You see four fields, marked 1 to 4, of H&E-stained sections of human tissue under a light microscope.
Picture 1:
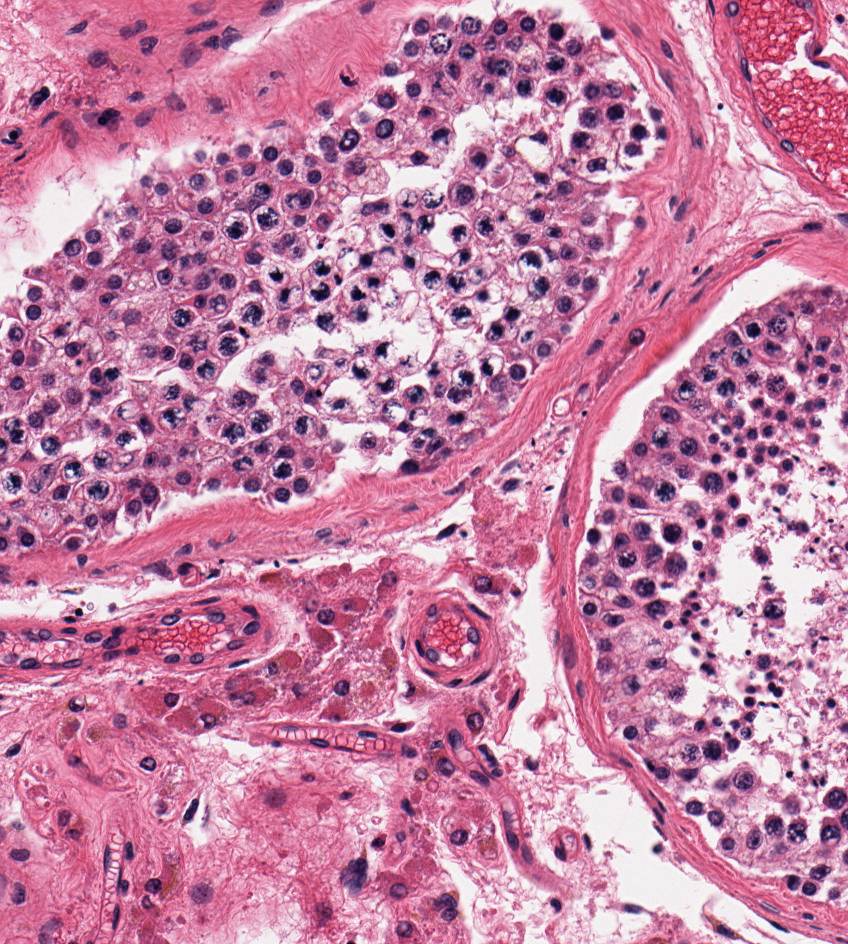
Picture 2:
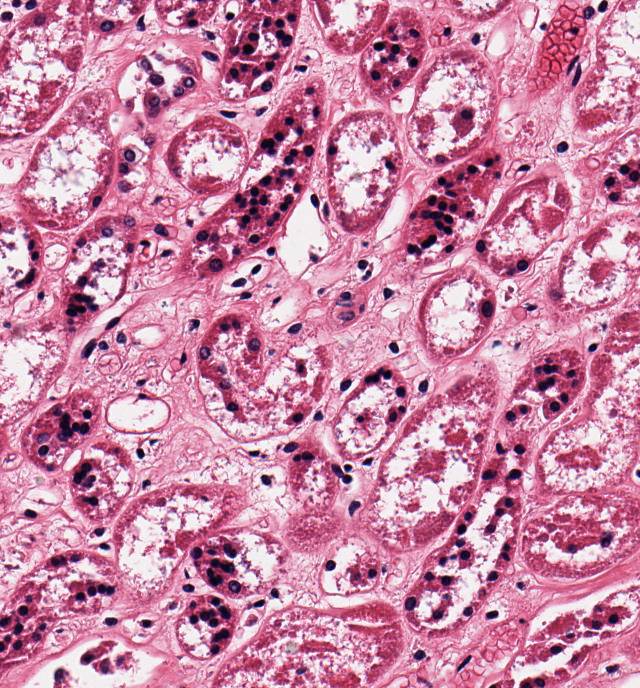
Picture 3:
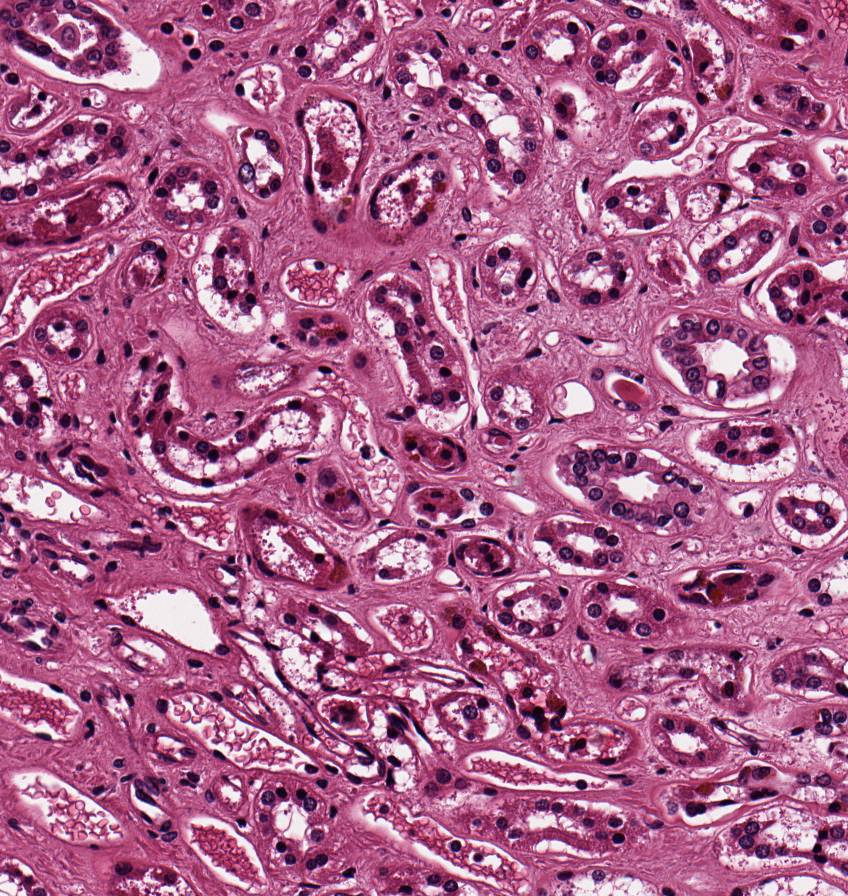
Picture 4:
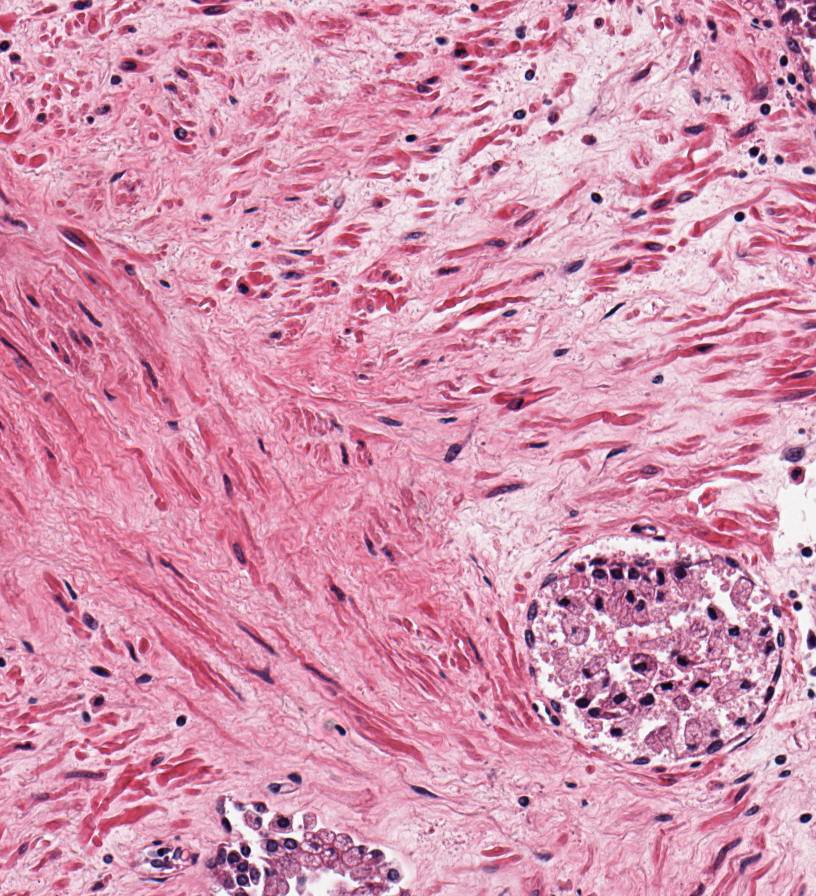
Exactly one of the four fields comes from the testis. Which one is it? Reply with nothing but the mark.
1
